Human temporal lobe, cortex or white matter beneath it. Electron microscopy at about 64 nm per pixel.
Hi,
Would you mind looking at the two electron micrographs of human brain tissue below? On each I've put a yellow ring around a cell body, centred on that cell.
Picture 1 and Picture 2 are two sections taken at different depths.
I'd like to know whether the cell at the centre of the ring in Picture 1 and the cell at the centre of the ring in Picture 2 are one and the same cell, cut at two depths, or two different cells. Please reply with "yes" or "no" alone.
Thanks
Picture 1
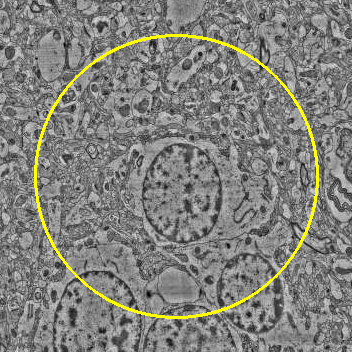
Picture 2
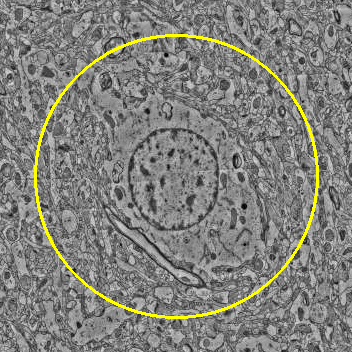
no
